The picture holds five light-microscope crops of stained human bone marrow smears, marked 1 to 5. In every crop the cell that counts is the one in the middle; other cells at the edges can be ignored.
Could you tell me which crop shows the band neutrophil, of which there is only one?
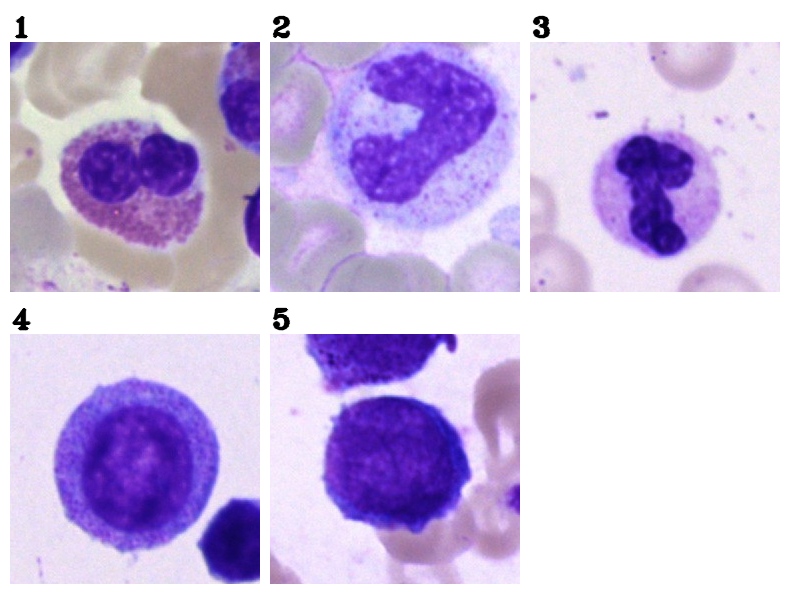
2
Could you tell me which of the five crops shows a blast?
5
